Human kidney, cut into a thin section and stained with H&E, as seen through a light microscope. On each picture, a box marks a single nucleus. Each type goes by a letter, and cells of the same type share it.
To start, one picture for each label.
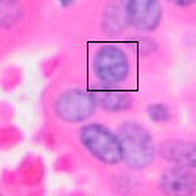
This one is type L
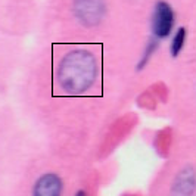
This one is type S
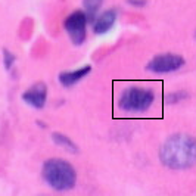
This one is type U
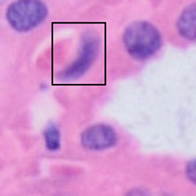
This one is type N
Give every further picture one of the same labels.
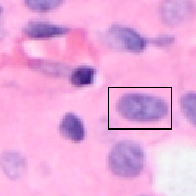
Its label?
type L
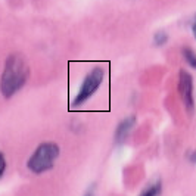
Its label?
type N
